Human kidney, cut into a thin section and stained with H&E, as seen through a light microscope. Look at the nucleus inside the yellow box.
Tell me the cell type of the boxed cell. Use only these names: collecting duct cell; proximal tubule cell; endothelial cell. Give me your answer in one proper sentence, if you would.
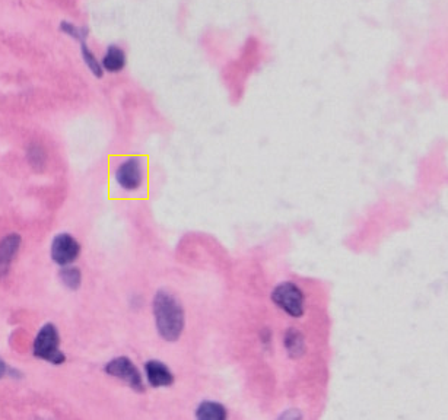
Placed in its cell category, the boxed cell is an endothelial cell.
